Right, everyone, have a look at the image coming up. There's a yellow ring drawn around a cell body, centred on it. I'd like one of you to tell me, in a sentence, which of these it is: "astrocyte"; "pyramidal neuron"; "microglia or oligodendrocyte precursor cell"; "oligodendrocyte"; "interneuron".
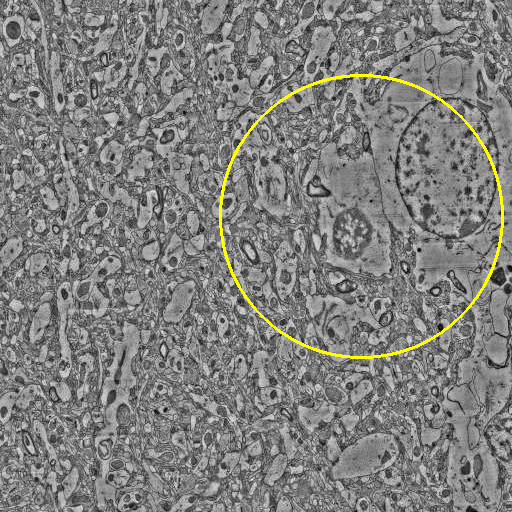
The yellow ring sits on an astrocyte.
